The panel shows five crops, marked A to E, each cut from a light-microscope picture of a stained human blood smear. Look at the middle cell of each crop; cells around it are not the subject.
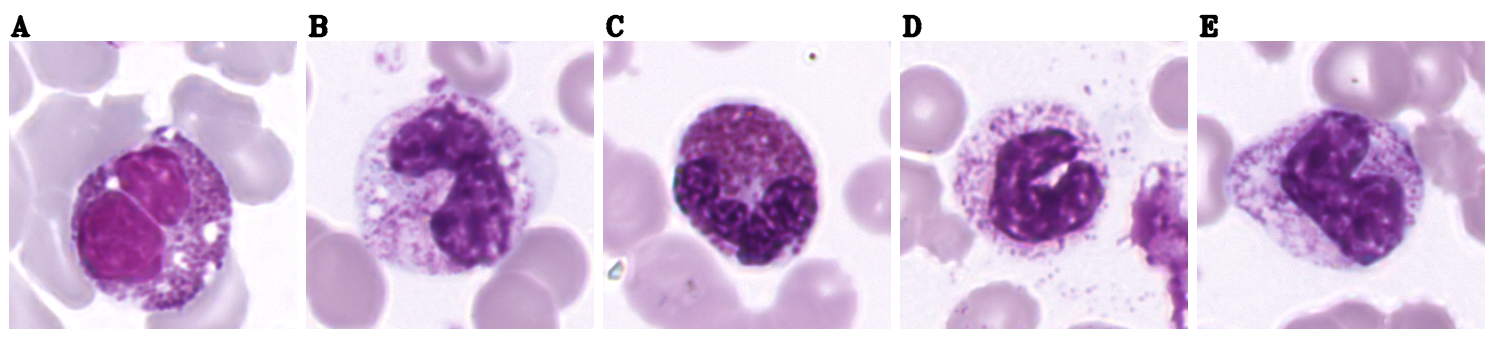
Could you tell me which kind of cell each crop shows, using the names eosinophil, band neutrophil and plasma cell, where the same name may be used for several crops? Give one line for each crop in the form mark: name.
A: eosinophil
B: band neutrophil
C: eosinophil
D: band neutrophil
E: band neutrophil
